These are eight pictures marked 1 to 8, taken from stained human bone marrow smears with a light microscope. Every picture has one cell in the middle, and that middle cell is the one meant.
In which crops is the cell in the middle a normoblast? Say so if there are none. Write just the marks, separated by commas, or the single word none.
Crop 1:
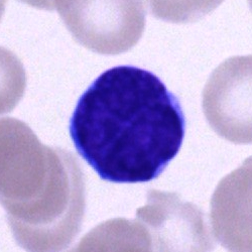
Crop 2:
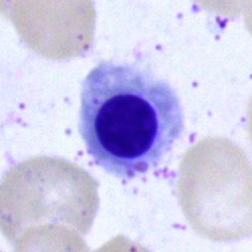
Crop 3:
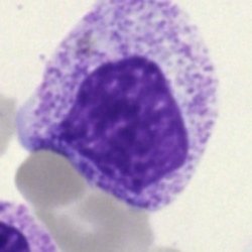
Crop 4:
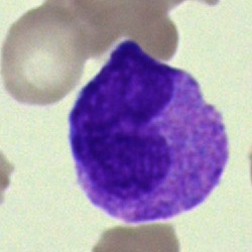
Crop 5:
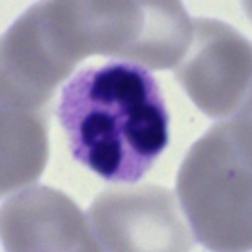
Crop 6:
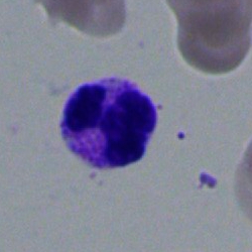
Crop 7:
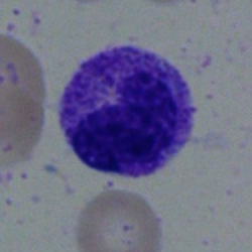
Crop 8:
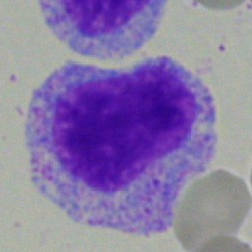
2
